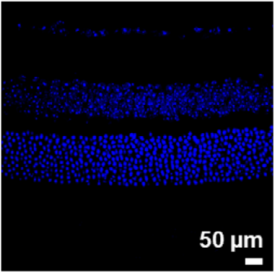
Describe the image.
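A cross section of retina shows its nuclear layers as blue-stained nuclei on a dark background. At the top a sparse, single row of nuclei forms the innermost layer. Below it a band of moderately packed nuclei forms the inner nuclear layer, separated by a dark nucleus-free band from a thicker band of tightly packed, small round nuclei forming the outer nuclear layer. The layers run straight and parallel with even thickness across the field.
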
